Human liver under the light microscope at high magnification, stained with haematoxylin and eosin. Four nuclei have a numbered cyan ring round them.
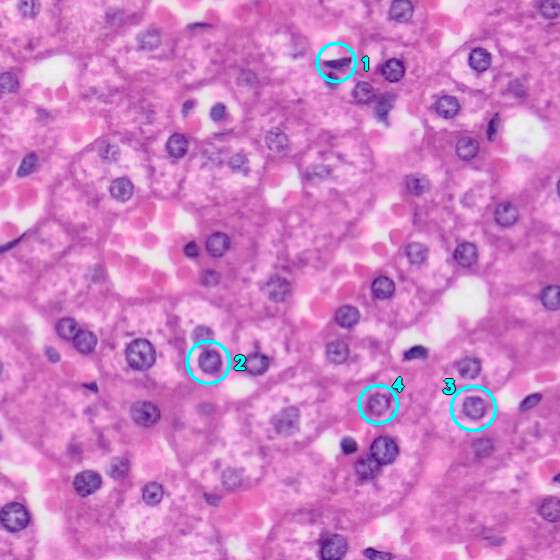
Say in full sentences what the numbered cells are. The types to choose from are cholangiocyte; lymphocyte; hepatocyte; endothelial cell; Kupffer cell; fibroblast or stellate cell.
Cell 1 is an endothelial cell, cell 2 is a hepatocyte, cell 3 is a hepatocyte and cell 4 is a hepatocyte.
